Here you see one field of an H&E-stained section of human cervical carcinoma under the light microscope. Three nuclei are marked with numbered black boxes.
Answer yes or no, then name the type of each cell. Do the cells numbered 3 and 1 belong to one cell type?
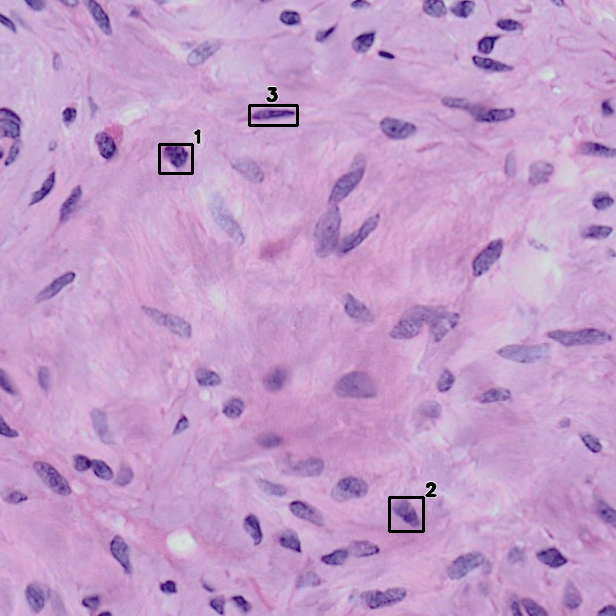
No, cell 3 is a fibroblast and cell 1 is a lymphocyte.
